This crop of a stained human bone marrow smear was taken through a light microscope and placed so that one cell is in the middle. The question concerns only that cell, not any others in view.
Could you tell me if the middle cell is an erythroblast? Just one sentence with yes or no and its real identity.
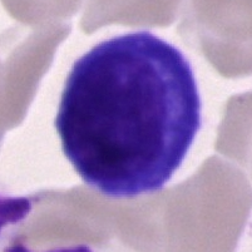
No, the label for the central cell is a plasma cell, not an erythroblast.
